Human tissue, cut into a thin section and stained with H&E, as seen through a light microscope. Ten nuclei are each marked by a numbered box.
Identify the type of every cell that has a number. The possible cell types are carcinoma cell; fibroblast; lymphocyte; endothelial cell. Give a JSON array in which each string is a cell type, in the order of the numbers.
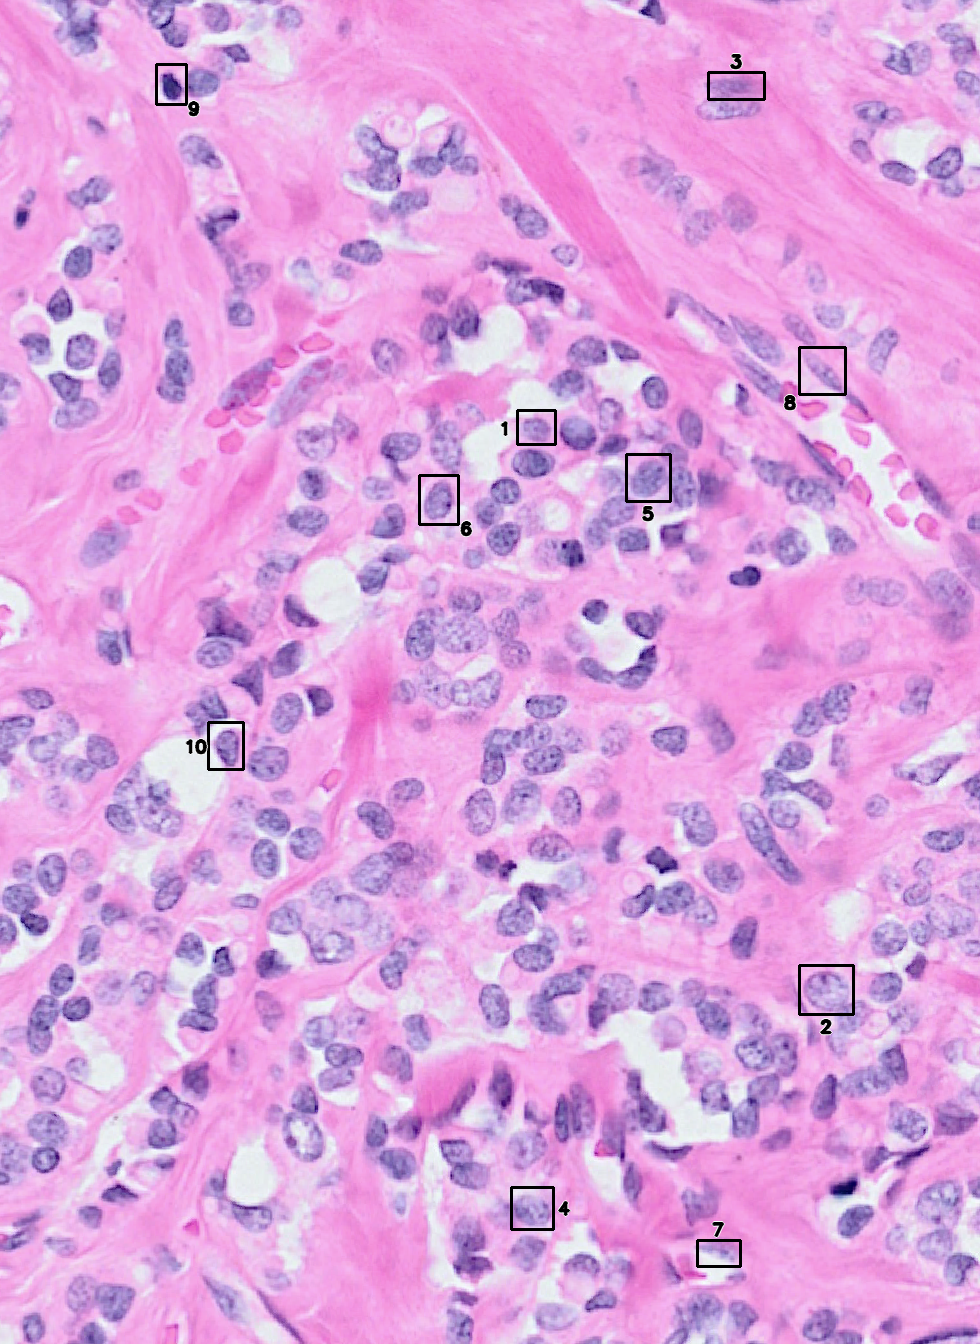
["carcinoma cell", "carcinoma cell", "endothelial cell", "carcinoma cell", "carcinoma cell", "carcinoma cell", "endothelial cell", "endothelial cell", "lymphocyte", "carcinoma cell"]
